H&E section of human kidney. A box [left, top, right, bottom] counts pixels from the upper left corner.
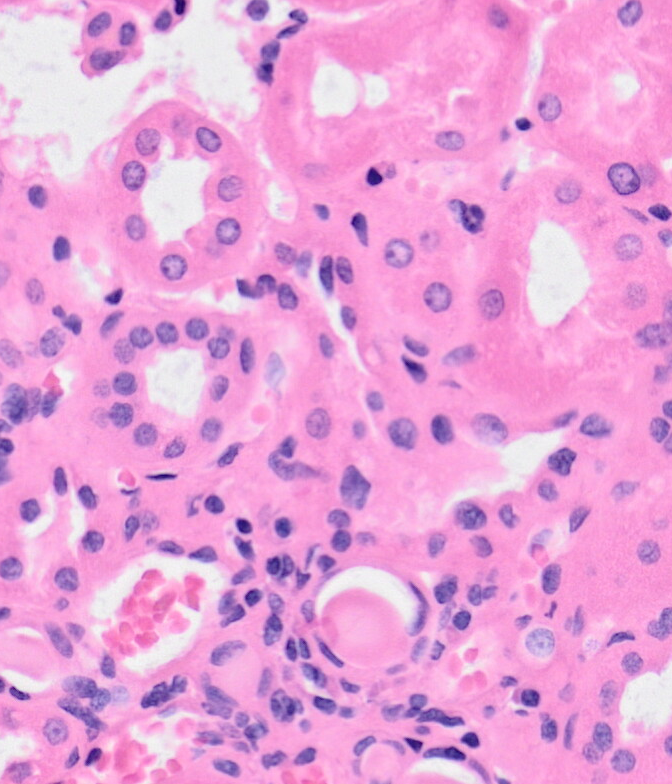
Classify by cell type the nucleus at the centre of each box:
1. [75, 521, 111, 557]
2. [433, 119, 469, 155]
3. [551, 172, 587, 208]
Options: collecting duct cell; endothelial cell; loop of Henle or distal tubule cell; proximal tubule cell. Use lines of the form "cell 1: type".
cell 1: loop of Henle or distal tubule cell
cell 2: proximal tubule cell
cell 3: proximal tubule cell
